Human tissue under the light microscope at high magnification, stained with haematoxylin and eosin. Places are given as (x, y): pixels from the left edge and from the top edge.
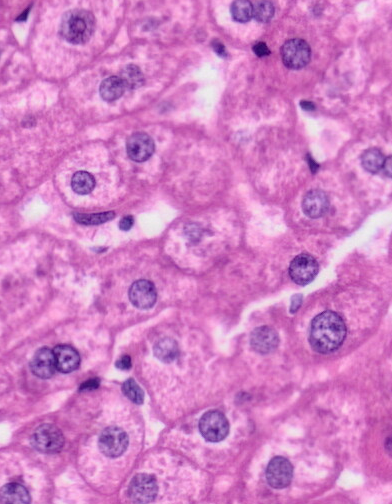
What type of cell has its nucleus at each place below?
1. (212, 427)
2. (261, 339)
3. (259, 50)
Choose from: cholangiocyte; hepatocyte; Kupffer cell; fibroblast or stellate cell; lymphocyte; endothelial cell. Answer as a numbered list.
1. hepatocyte
2. hepatocyte
3. fibroblast or stellate cell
